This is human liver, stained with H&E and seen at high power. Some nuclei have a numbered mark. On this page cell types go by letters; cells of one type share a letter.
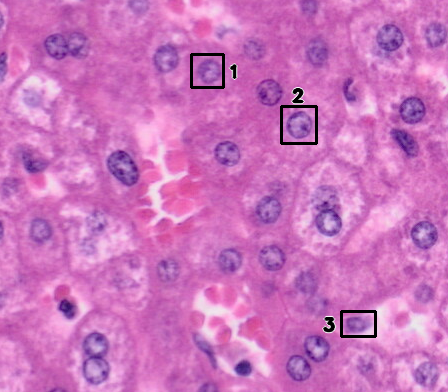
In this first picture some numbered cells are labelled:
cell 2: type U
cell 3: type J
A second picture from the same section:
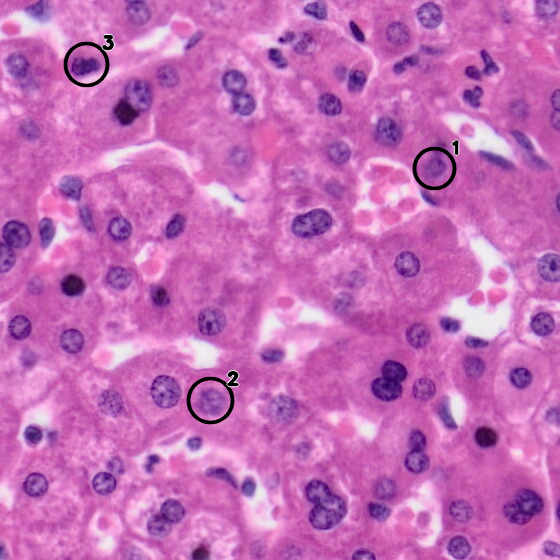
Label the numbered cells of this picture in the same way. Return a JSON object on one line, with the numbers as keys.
{"1": "type U", "2": "type U", "3": "type J"}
